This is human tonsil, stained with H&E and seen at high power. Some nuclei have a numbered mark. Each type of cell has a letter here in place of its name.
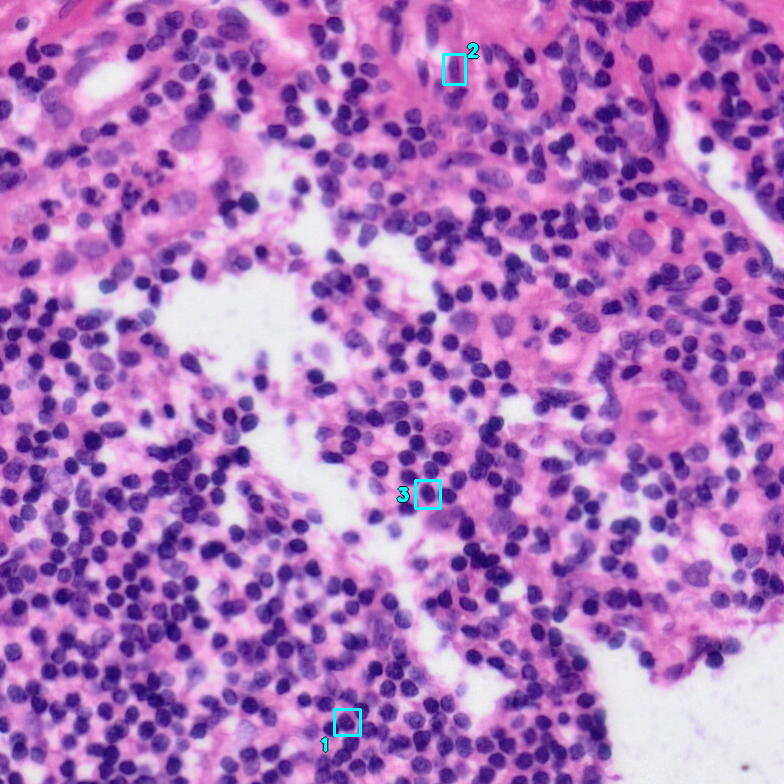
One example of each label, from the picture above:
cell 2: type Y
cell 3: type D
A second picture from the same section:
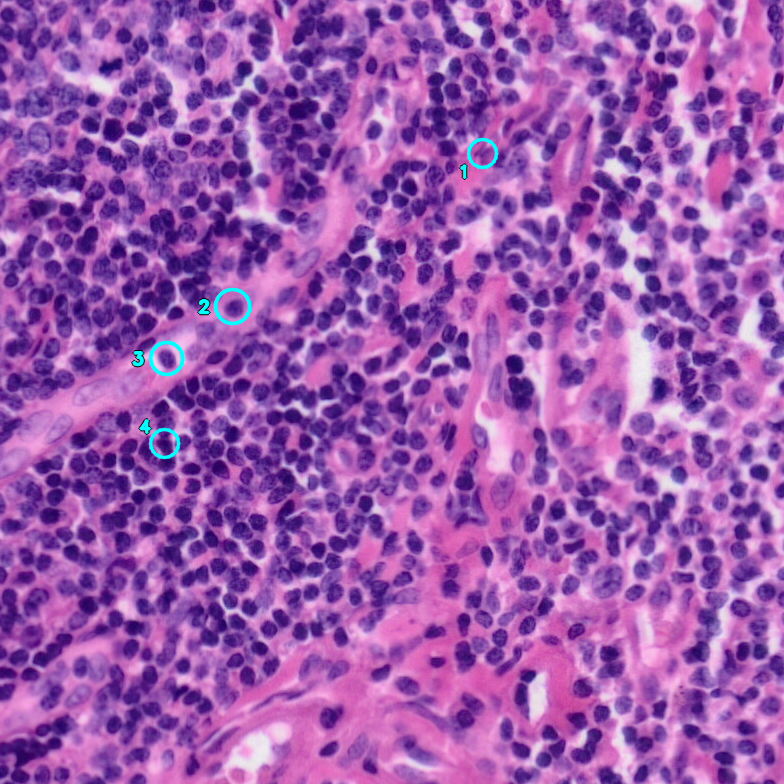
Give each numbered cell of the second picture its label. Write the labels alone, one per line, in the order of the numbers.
type Y
type Y
type Y
type D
